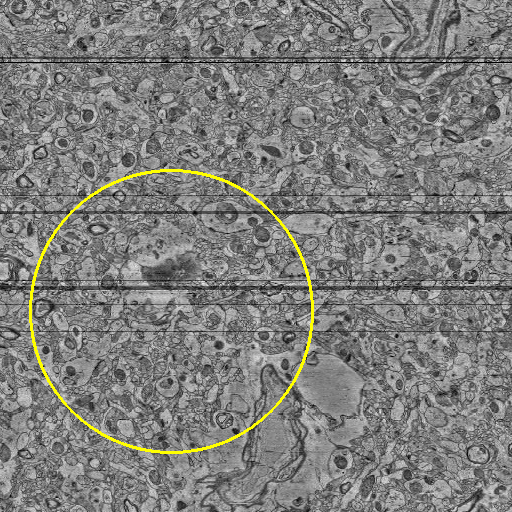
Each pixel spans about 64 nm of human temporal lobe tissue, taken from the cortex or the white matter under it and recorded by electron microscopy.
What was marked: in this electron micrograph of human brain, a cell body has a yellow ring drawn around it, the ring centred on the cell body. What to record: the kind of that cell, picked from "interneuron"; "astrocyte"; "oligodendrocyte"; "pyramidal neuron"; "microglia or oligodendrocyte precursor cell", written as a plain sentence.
The centred cell is an oligodendrocyte.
